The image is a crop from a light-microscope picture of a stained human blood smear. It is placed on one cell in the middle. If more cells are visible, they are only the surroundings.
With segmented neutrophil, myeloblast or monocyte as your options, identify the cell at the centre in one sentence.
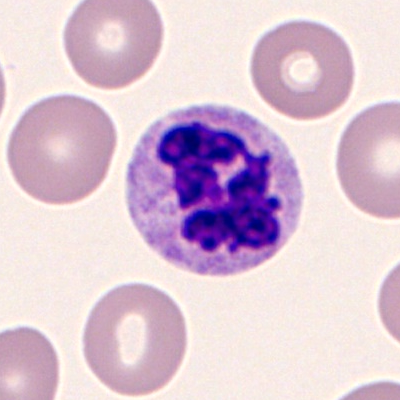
The central cell shown in this smear crop is a segmented neutrophil.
